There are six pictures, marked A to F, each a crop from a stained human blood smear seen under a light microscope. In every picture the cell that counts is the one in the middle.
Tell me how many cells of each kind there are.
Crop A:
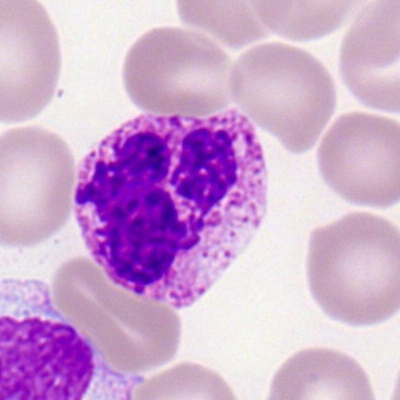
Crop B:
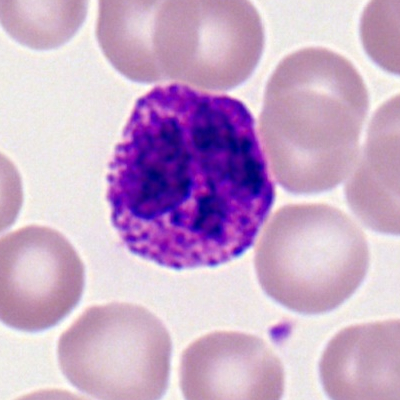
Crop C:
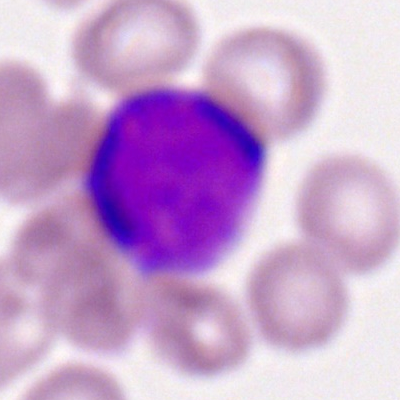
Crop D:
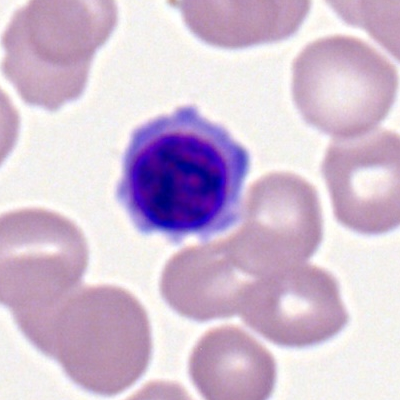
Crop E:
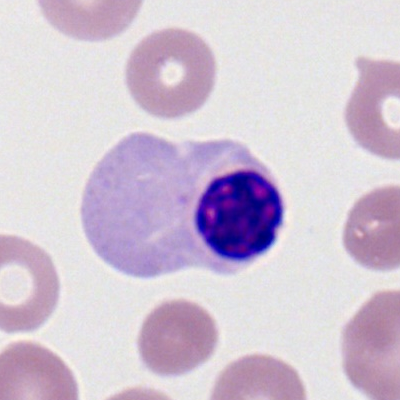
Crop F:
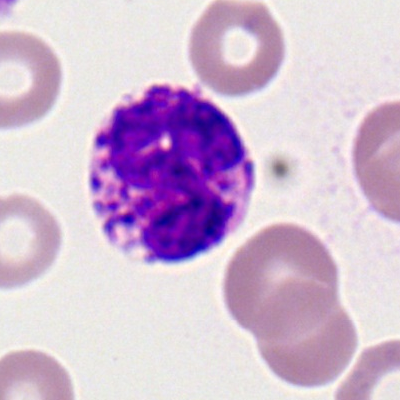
basophil: 3
erythroblast: 2
myeloblast: 1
